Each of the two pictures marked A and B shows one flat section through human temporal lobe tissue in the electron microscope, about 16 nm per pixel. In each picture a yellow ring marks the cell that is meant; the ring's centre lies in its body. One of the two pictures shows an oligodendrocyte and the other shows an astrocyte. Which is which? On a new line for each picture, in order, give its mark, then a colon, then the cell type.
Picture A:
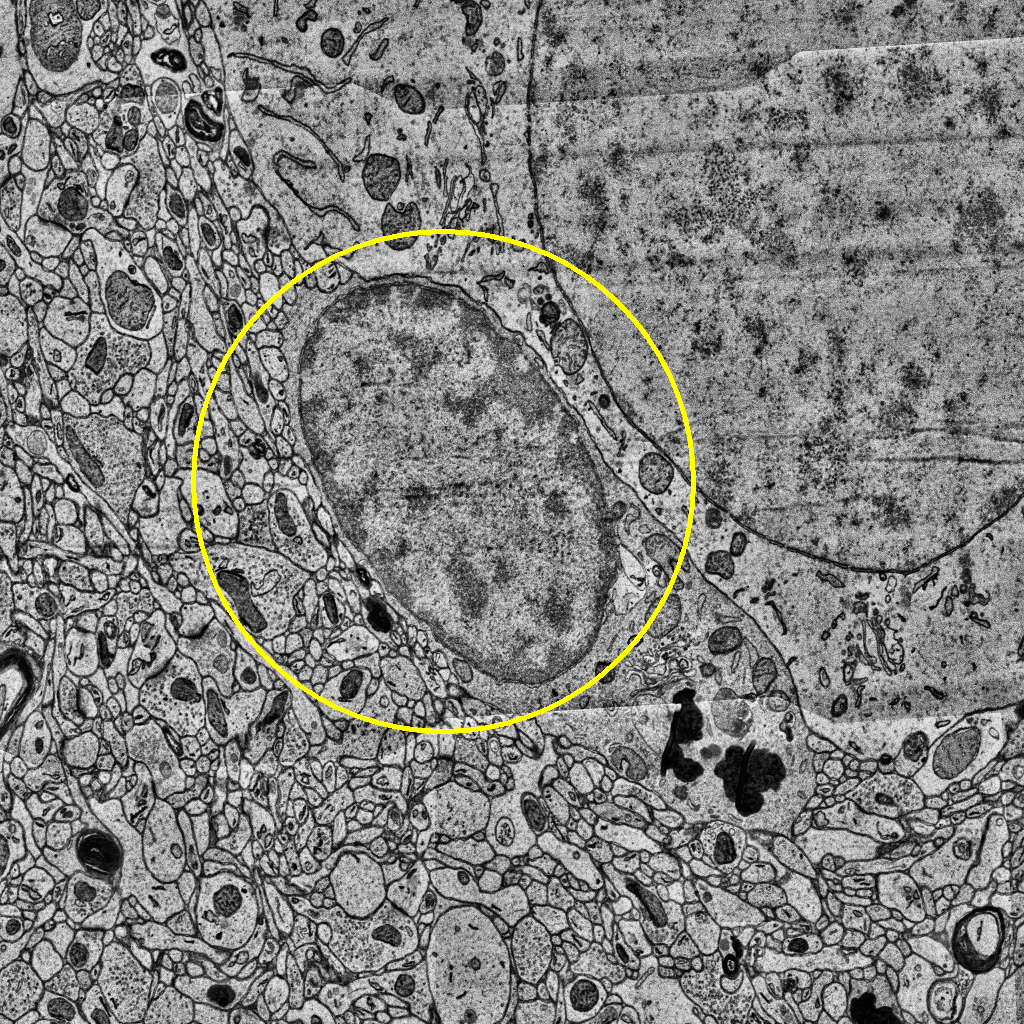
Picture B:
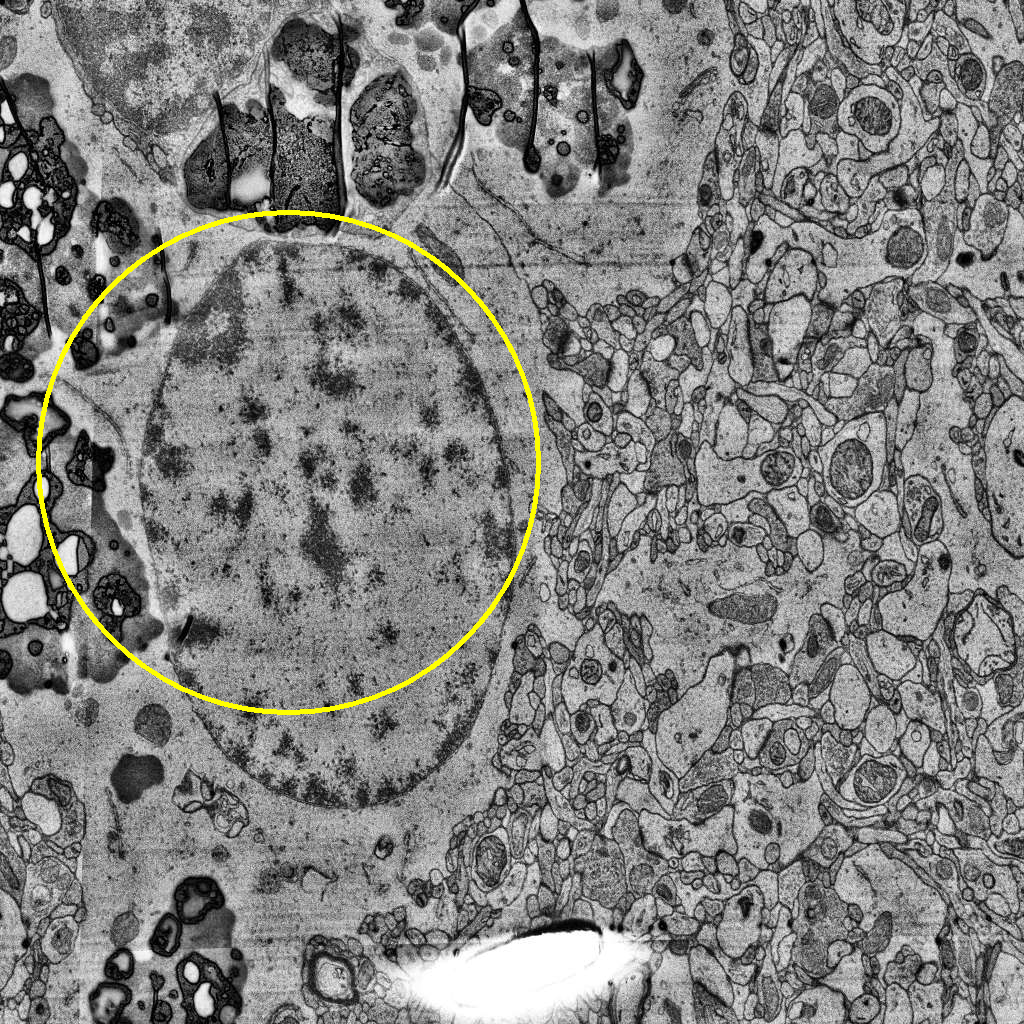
A: oligodendrocyte
B: astrocyte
